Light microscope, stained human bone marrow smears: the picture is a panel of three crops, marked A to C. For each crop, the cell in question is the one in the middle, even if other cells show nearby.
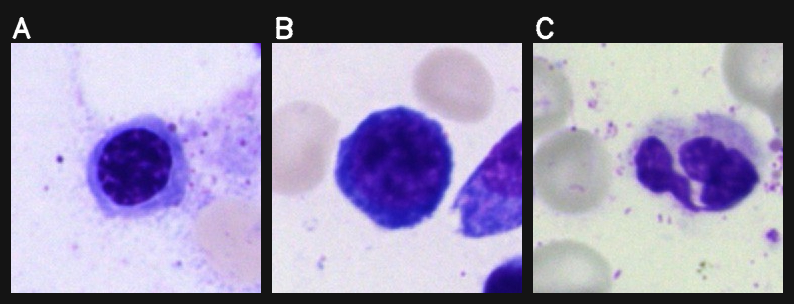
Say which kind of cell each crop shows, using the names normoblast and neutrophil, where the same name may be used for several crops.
A: normoblast
B: normoblast
C: neutrophil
